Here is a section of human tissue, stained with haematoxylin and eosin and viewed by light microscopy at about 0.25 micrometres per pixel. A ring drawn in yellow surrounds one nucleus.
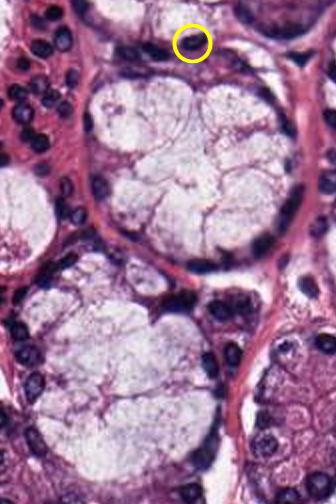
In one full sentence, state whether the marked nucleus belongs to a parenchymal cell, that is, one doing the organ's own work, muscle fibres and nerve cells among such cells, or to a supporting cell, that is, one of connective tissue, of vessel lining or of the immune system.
The marked nucleus is owned by a parenchymal cell, in this case a mucous gland cell.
